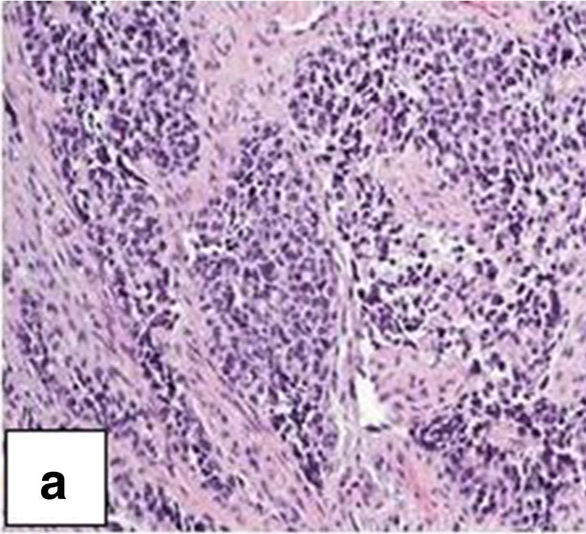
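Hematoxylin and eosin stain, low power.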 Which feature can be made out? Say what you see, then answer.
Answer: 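Organoid pattern. Tumour cells are grouped into nests and trabeculae. Pink fibrous stromal bands separate the cell groups.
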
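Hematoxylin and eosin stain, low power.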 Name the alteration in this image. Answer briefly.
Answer: Neuroendocrine carcinoma (small cell type)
